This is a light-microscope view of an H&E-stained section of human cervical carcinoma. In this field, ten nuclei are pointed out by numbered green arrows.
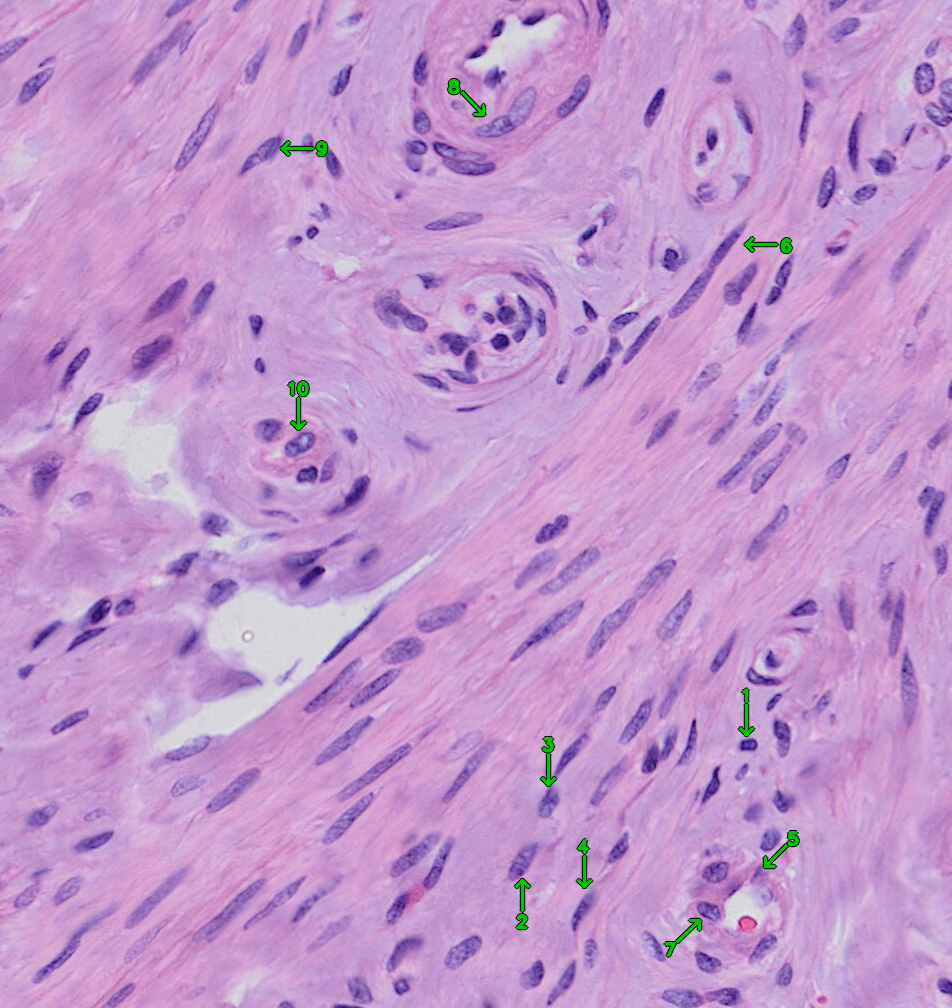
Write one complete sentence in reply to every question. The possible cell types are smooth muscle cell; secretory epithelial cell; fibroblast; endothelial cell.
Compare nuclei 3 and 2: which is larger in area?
It is nucleus 2, which covers about 1.5 times the area of nucleus 3.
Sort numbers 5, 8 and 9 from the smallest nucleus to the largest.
From smallest to largest, the order is 5, 9, 8.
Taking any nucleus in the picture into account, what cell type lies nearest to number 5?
Closest to number 5 lies the nucleus of an endothelial cell.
